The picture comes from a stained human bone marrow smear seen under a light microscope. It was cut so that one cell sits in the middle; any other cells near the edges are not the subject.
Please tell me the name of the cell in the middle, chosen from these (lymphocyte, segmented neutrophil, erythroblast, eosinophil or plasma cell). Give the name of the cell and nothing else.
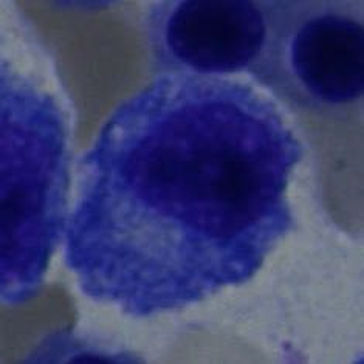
plasma cell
